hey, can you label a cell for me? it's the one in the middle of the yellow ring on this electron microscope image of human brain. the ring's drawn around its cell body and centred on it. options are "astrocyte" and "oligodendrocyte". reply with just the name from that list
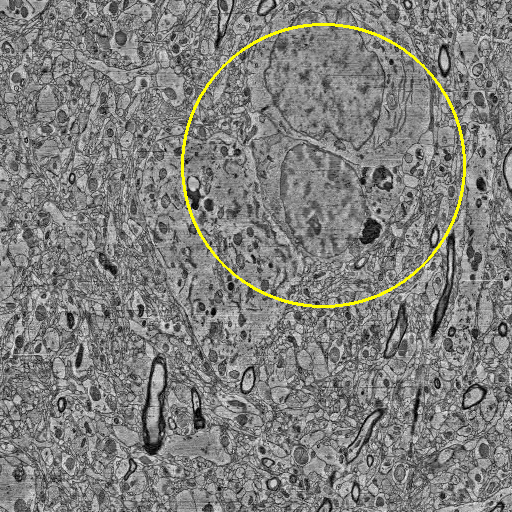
oligodendrocyte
